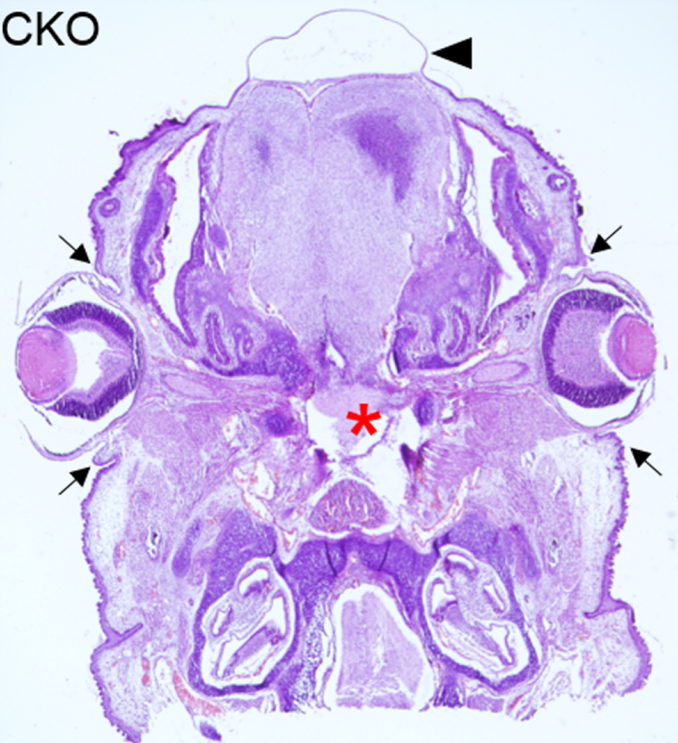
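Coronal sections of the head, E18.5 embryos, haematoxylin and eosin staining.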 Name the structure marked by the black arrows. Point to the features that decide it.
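The arrows point to thin skin folds above and below each eye at the side of the head. The eyes with lens and retina lie between the marked folds.
Hence: eyelids.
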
